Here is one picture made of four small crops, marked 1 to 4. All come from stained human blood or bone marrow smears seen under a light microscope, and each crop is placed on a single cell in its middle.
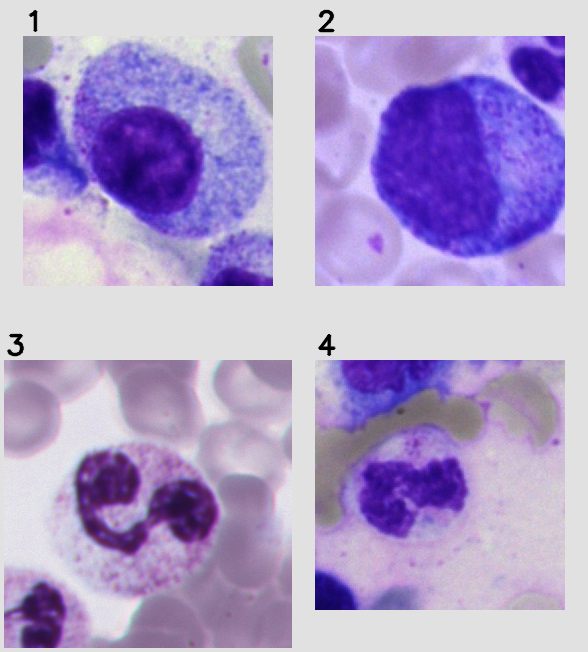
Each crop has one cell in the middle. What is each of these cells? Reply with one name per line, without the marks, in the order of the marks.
promyelocyte
promyelocyte
segmented neutrophil
segmented neutrophil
